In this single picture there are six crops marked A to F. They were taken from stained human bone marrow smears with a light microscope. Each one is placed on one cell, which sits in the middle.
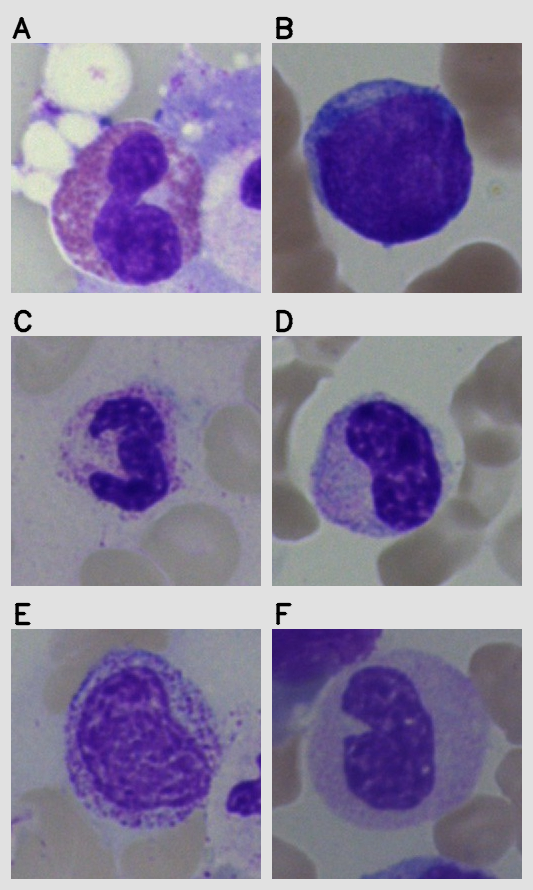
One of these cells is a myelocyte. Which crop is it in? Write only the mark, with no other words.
E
